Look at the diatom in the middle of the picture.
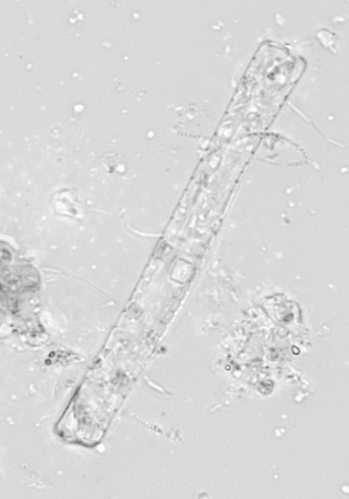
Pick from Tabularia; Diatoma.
Diatoma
